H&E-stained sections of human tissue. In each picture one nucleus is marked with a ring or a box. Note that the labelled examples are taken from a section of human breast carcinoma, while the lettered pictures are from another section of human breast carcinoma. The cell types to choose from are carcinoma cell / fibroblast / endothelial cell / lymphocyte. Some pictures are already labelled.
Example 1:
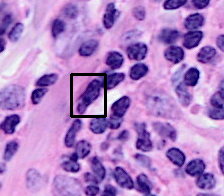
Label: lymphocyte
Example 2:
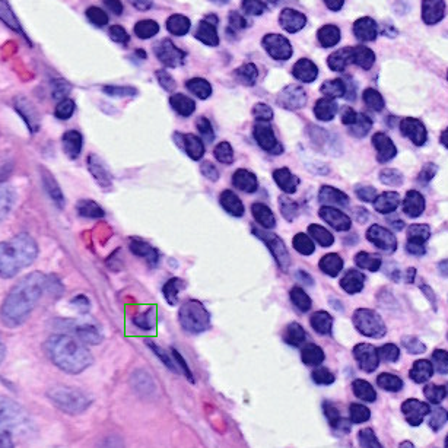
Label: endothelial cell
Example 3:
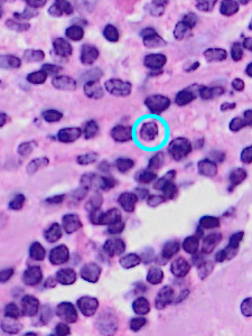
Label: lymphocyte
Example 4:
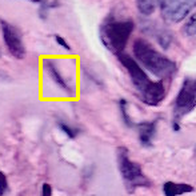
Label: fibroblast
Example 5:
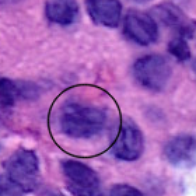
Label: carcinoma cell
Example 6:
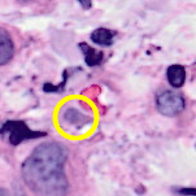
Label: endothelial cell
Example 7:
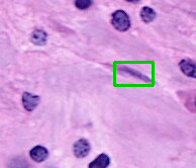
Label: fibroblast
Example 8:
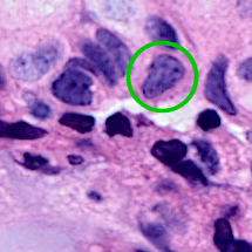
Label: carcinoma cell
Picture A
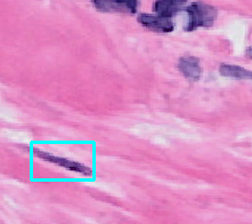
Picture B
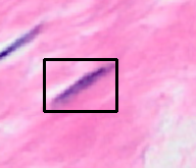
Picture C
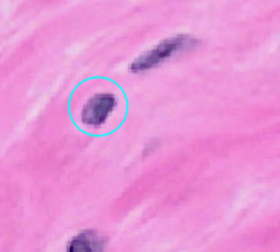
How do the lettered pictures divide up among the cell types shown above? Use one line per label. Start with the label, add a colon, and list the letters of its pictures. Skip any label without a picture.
fibroblast: A, B
lymphocyte: C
